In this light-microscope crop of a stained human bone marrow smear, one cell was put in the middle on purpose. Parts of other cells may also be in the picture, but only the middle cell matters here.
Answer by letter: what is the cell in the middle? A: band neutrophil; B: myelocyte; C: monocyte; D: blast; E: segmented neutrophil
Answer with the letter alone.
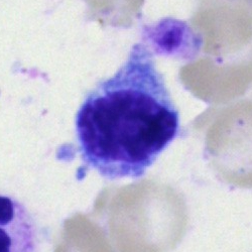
C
